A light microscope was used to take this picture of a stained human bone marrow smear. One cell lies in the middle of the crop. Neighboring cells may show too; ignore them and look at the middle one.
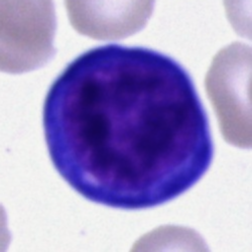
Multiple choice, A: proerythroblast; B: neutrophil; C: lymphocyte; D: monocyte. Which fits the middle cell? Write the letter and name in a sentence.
Since the cell in the centre is a proerythroblast, the correct option is A.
